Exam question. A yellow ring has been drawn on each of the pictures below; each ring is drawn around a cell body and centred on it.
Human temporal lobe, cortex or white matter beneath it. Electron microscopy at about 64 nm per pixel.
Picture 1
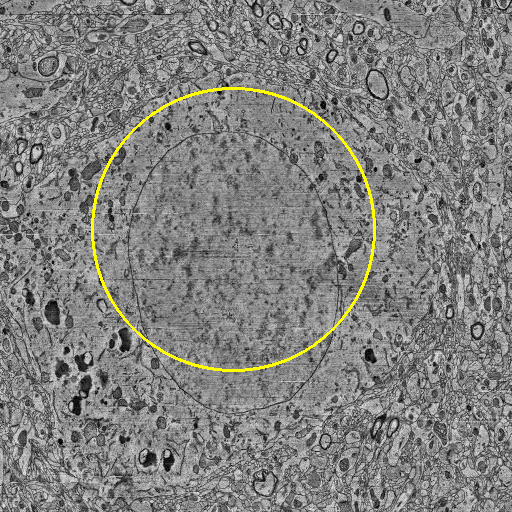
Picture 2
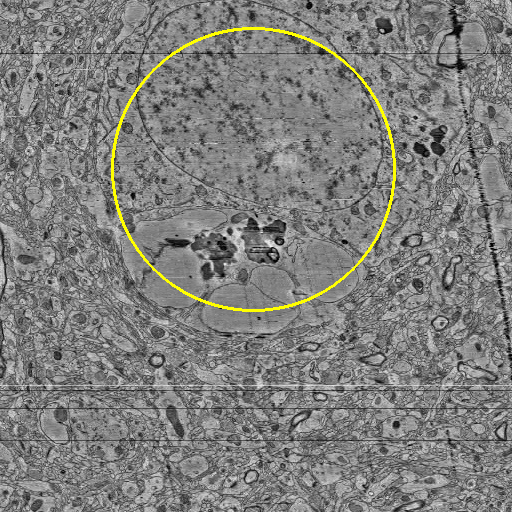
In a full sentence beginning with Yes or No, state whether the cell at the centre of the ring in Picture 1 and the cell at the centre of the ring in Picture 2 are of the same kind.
Yes, the two cells are of the same kind.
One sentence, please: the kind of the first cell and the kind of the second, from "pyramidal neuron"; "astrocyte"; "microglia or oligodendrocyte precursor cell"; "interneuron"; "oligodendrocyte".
In both pictures the ring is centred on a pyramidal neuron.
